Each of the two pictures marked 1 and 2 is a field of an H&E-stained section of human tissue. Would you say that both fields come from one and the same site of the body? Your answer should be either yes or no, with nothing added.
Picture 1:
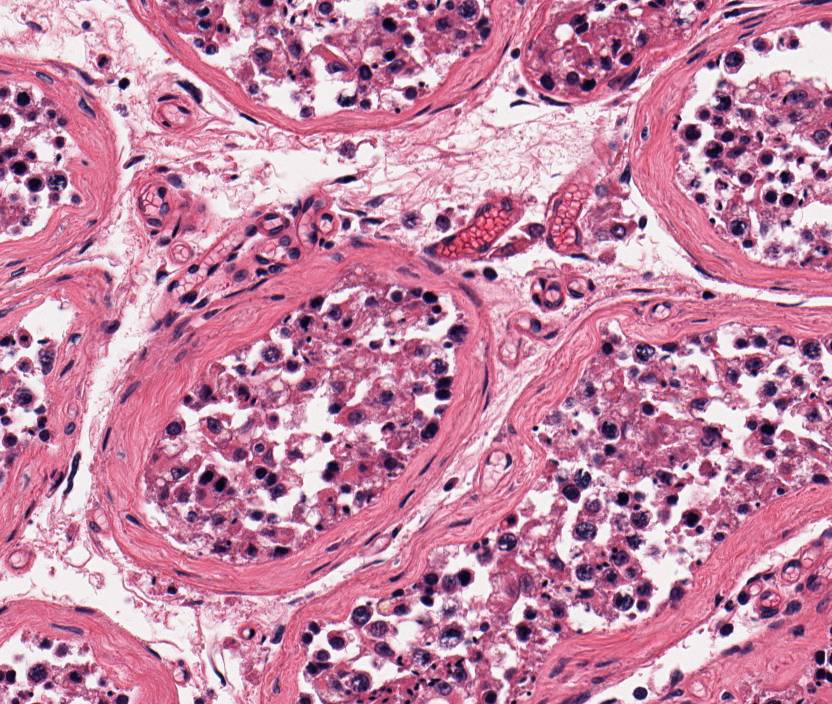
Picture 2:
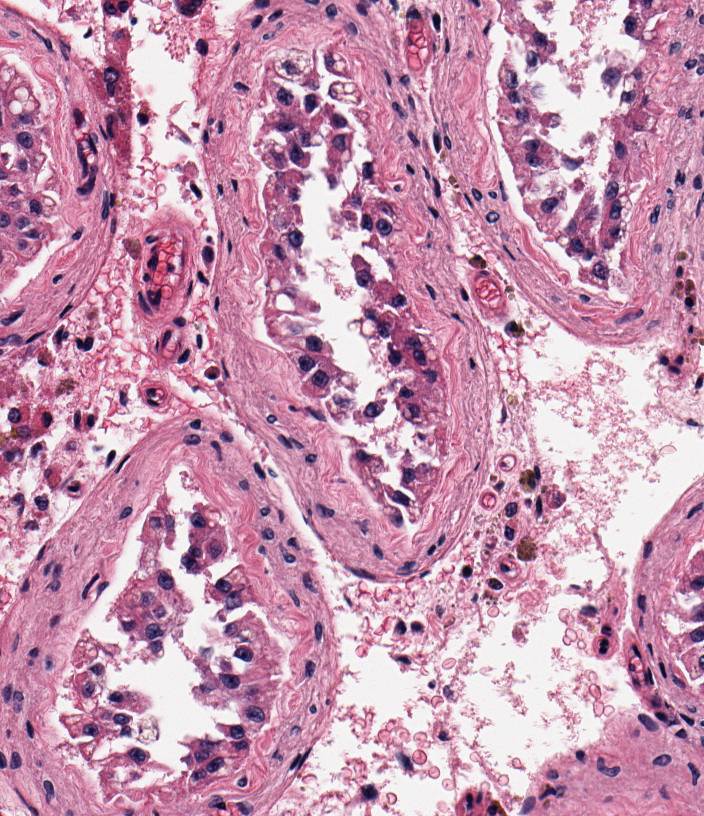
yes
